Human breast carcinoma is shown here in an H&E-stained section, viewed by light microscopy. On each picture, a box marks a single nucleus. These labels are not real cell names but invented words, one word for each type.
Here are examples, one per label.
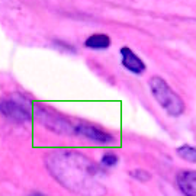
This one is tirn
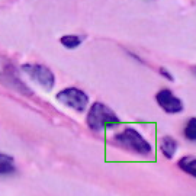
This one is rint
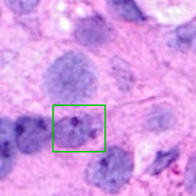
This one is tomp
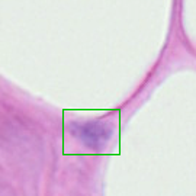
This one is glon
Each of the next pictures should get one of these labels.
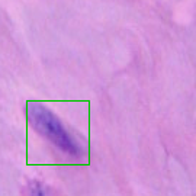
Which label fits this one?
glon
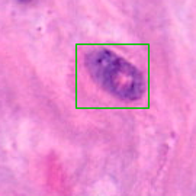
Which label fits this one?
glon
